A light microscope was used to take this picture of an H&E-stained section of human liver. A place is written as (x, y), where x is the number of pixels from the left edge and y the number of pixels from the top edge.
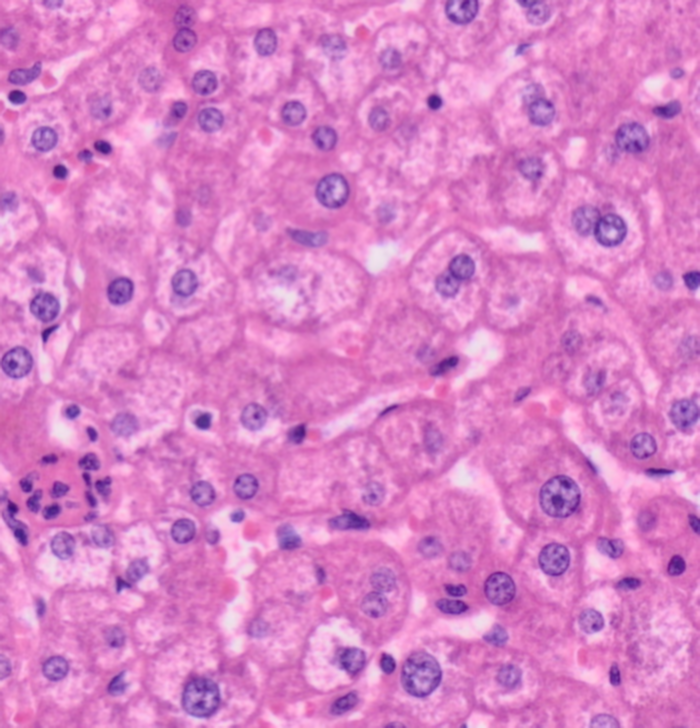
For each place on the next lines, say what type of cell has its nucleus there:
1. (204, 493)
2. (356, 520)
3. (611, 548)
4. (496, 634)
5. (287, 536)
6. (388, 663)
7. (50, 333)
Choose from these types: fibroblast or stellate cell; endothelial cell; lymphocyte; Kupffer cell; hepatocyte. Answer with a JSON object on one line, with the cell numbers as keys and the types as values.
{"1": "hepatocyte", "2": "fibroblast or stellate cell", "3": "Kupffer cell", "4": "endothelial cell", "5": "endothelial cell", "6": "lymphocyte", "7": "endothelial cell"}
